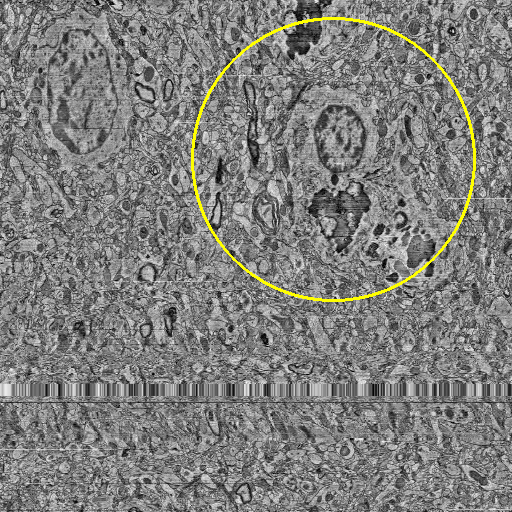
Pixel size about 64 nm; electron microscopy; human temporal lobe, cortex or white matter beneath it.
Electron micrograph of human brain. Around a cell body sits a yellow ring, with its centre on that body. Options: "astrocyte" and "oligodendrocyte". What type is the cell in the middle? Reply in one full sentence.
The cell sitting at the centre of the yellow ring is an astrocyte.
